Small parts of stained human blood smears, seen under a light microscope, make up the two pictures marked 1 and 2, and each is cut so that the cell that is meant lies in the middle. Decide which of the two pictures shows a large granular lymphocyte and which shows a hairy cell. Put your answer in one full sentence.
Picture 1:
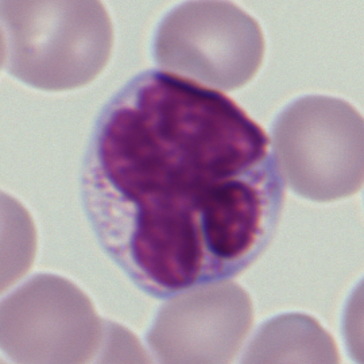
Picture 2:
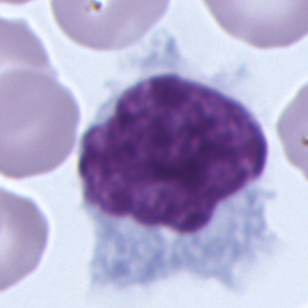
Picture 1 shows a large granular lymphocyte and picture 2 shows a hairy cell.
